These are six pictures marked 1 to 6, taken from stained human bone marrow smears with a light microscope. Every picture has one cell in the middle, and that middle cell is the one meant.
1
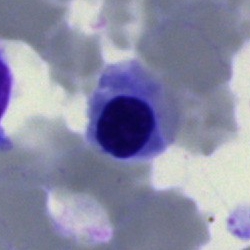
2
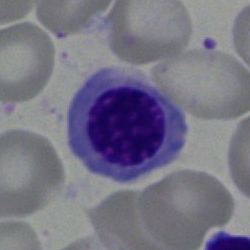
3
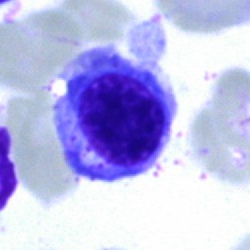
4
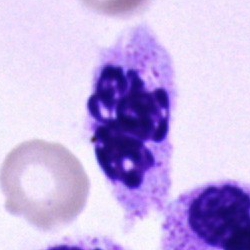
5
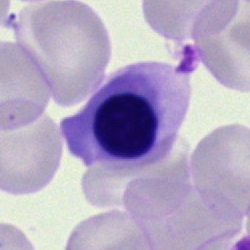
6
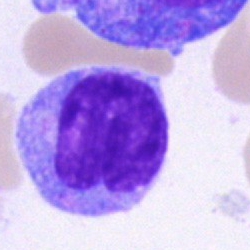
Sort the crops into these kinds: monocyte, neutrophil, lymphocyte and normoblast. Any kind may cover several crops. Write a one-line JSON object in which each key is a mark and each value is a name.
{"1": "normoblast", "2": "normoblast", "3": "normoblast", "4": "neutrophil", "5": "normoblast", "6": "monocyte"}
